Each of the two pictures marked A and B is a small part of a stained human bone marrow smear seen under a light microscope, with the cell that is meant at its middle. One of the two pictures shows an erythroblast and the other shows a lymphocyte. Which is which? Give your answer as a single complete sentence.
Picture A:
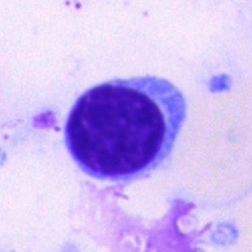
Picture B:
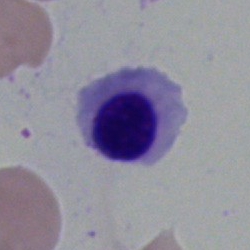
The cell in picture A is a lymphocyte, and the one in picture B is an erythroblast.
